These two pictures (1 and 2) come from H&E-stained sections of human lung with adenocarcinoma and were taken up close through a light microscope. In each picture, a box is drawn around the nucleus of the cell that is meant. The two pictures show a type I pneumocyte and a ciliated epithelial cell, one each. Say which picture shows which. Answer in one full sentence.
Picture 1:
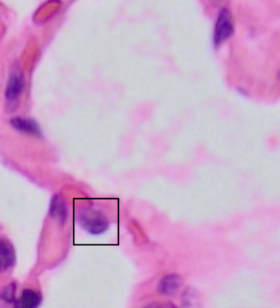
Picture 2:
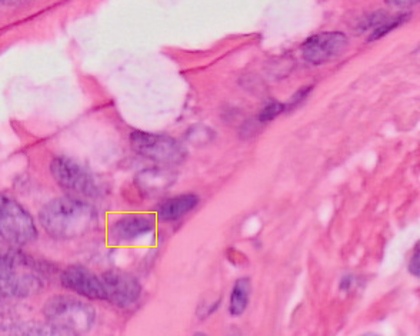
Picture 2 shows a ciliated epithelial cell, while picture 1 shows a type I pneumocyte.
